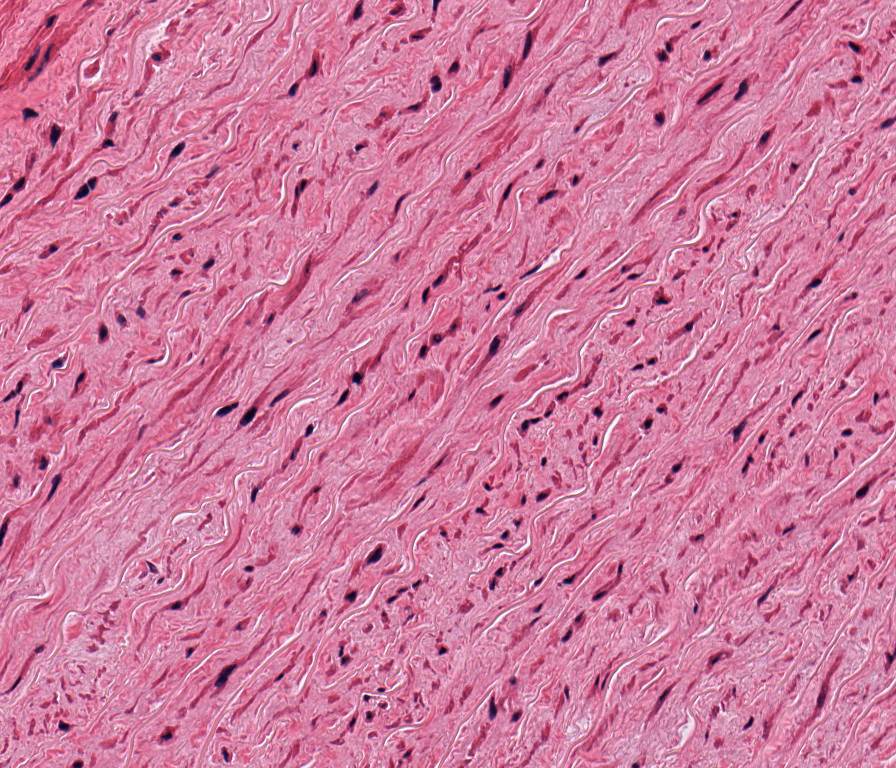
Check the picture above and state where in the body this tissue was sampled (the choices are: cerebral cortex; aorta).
aorta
